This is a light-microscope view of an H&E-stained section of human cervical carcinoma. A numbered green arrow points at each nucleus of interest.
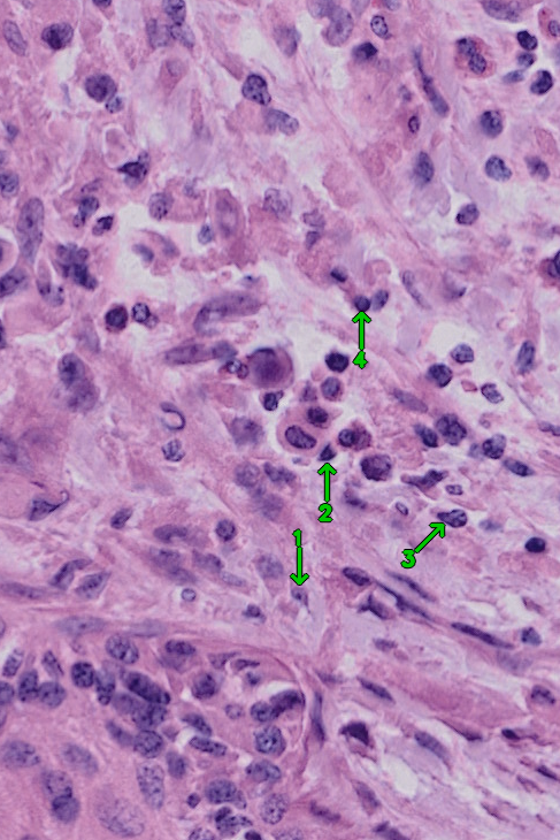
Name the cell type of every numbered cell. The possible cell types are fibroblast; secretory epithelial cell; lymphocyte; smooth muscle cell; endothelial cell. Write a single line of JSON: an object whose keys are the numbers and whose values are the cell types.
{"1": "fibroblast", "2": "lymphocyte", "3": "lymphocyte", "4": "lymphocyte"}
